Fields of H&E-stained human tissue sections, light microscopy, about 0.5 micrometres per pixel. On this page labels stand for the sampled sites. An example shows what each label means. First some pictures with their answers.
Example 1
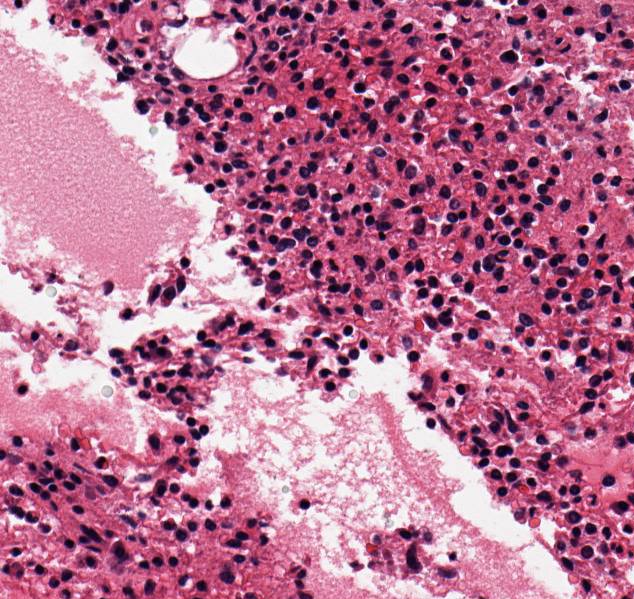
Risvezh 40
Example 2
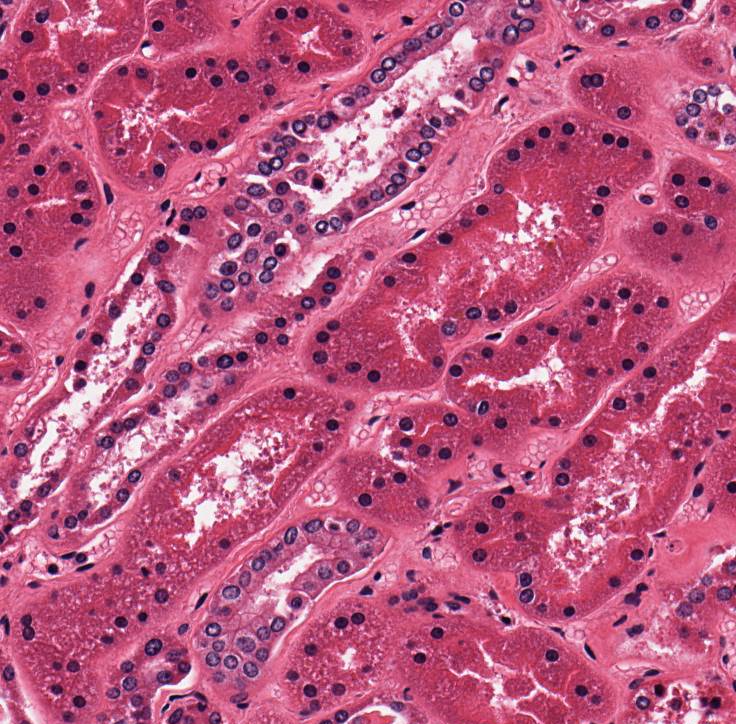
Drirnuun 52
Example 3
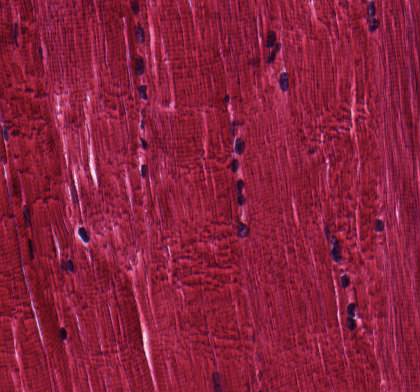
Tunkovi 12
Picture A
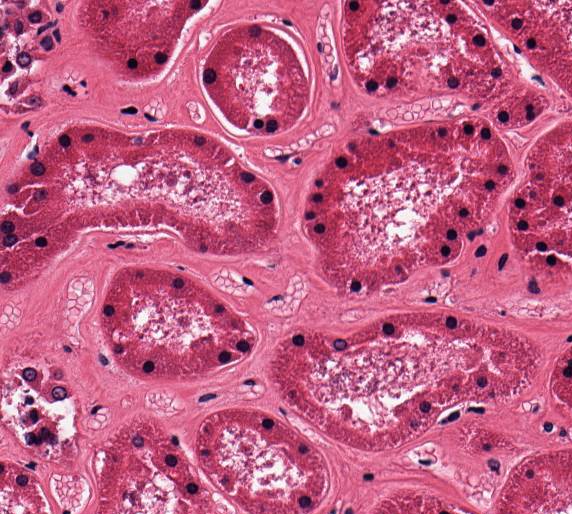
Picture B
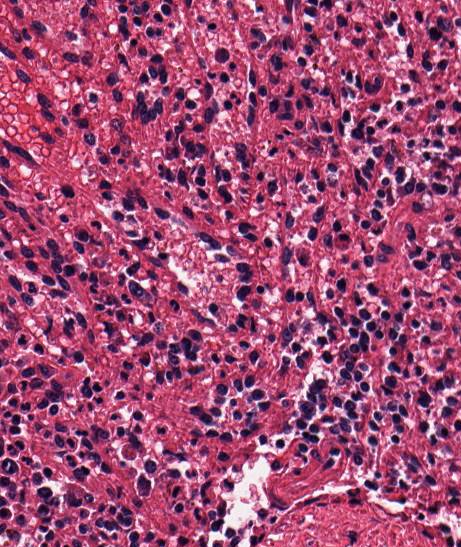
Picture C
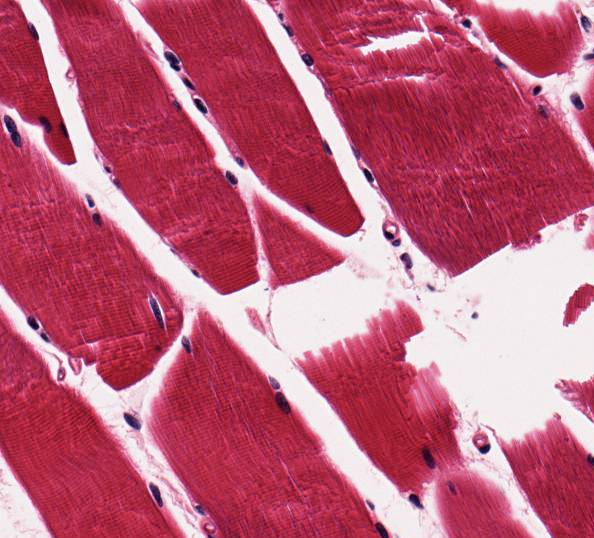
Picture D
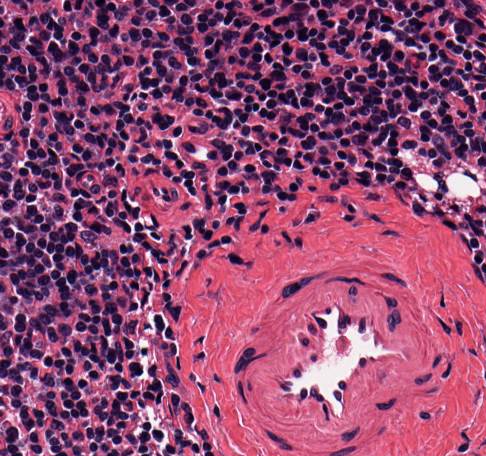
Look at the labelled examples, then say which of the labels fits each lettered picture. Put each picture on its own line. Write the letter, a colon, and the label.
A: Drirnuun 52
B: Risvezh 40
C: Tunkovi 12
D: Risvezh 40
